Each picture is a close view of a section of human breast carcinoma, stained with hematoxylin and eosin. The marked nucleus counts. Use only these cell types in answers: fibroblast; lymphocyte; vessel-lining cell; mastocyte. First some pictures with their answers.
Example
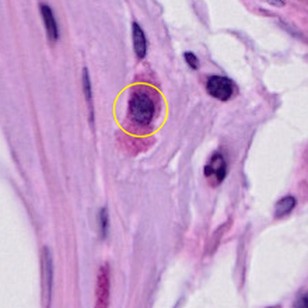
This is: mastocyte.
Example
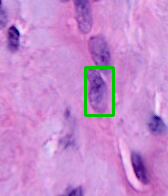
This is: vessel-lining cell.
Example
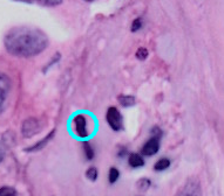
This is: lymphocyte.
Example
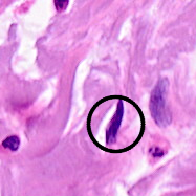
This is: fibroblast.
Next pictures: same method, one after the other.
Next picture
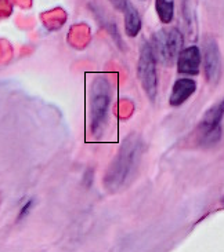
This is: vessel-lining cell.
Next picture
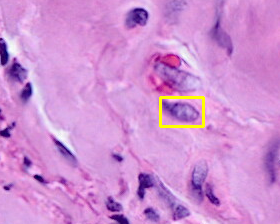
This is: vessel-lining cell.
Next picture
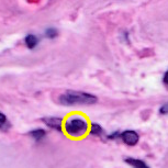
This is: lymphocyte.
